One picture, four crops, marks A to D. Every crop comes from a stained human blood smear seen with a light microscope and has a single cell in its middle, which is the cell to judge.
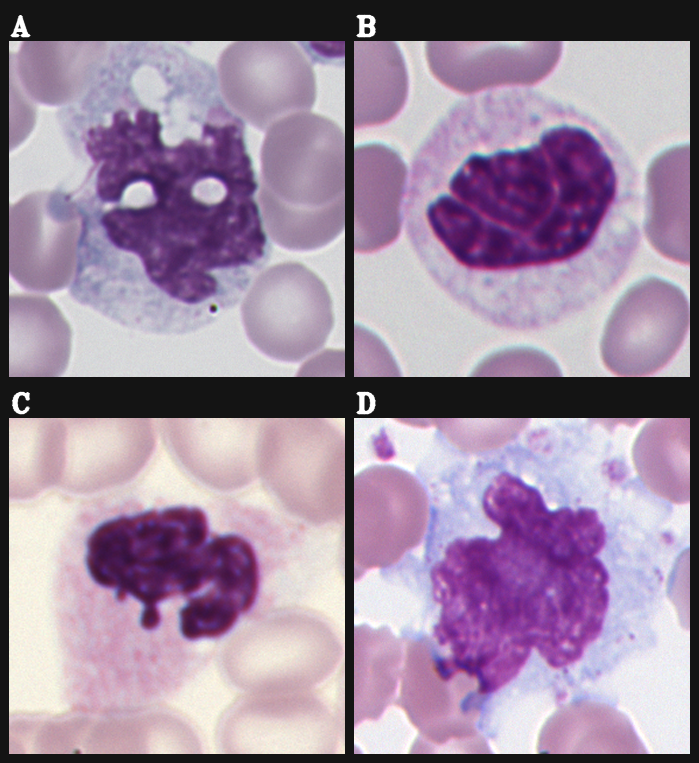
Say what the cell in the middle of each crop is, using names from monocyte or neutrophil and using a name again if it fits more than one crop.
A: monocyte
B: neutrophil
C: neutrophil
D: monocyte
